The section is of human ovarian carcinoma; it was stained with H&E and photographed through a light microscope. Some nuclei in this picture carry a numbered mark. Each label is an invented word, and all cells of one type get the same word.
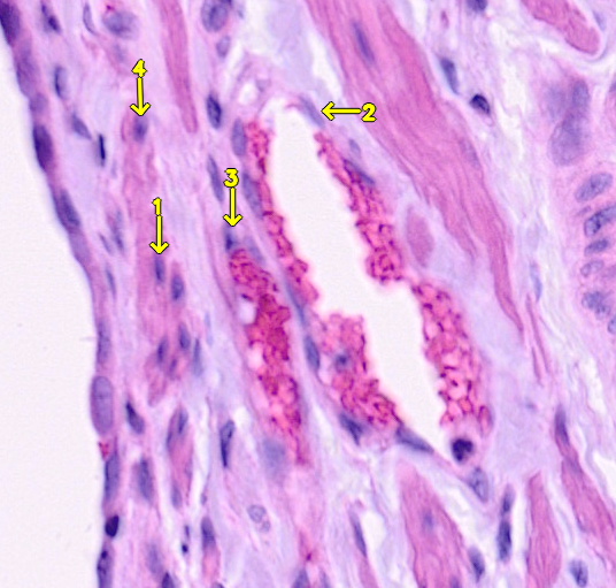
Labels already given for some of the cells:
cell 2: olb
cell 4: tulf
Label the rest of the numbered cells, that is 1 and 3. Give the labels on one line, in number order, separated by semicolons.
tulf; olb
